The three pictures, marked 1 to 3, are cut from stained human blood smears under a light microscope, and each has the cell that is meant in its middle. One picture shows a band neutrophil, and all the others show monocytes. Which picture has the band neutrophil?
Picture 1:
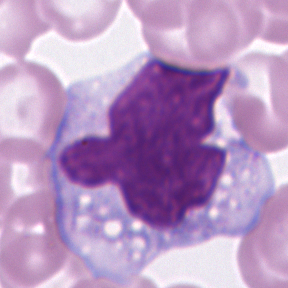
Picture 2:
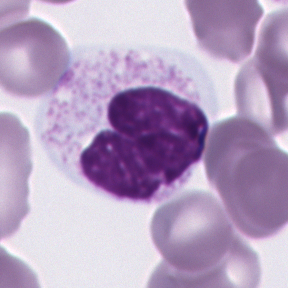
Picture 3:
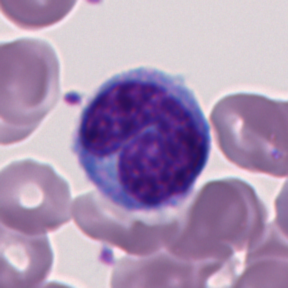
2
